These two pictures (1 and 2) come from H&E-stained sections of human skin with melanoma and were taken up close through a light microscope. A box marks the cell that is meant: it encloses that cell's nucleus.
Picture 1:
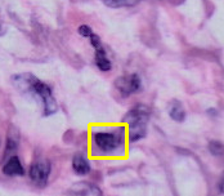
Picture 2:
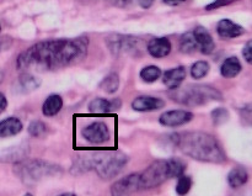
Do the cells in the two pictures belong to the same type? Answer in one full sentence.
No, the types are not the same, since picture 1 shows a plasma cell and picture 2 a lymphocyte.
